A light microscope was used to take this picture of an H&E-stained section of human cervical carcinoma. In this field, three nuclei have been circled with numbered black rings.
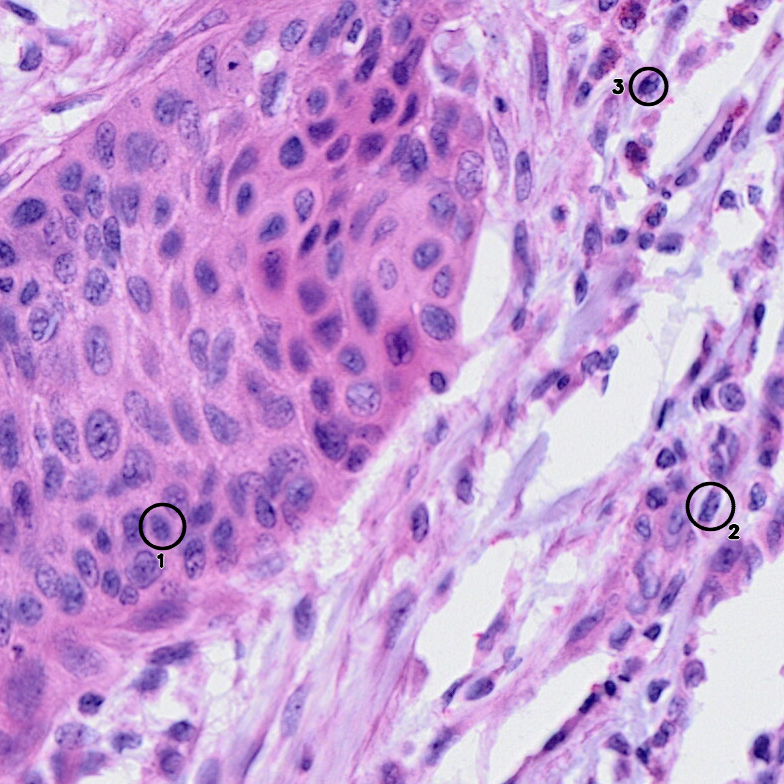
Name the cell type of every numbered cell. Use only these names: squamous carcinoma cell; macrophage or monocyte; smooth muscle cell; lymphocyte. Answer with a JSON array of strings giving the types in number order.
["squamous carcinoma cell", "lymphocyte", "lymphocyte"]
